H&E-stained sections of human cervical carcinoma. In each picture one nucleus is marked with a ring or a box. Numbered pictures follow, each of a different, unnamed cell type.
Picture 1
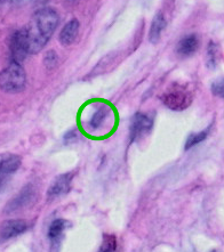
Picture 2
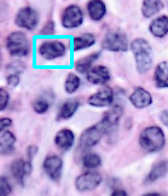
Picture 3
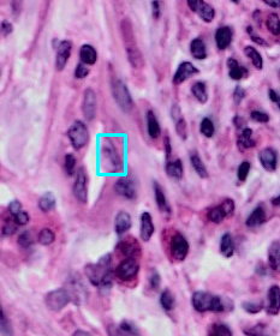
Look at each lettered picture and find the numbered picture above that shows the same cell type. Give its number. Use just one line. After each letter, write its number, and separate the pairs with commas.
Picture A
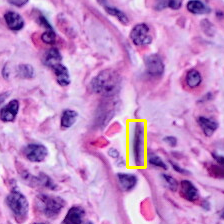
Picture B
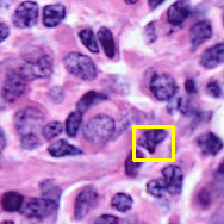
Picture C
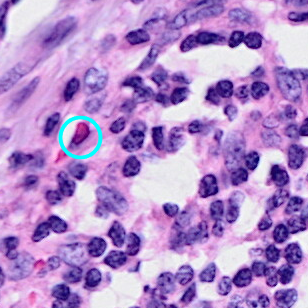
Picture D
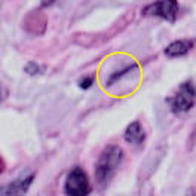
A 3, B 2, C 3, D 1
